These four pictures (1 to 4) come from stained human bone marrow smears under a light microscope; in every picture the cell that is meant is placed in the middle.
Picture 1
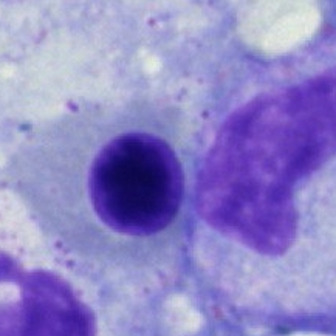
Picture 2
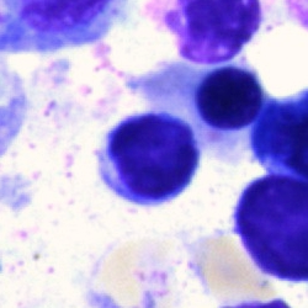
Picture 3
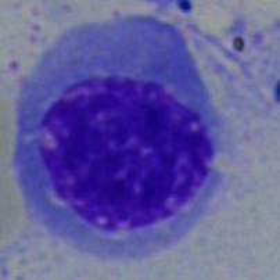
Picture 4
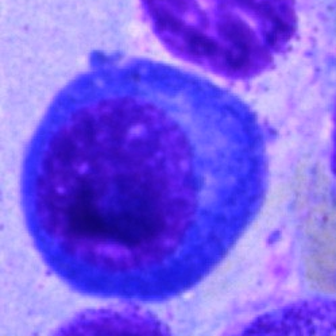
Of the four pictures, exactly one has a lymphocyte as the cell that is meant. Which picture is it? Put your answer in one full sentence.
Picture 2 shows the lymphocyte.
